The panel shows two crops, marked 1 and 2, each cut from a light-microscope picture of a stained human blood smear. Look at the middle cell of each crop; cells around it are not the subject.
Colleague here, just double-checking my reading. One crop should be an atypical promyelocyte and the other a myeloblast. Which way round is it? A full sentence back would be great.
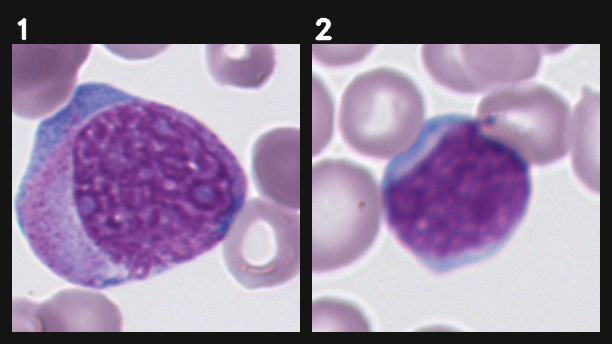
The cell in crop 1 is an atypical promyelocyte, whereas the cell in crop 2 is a myeloblast.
